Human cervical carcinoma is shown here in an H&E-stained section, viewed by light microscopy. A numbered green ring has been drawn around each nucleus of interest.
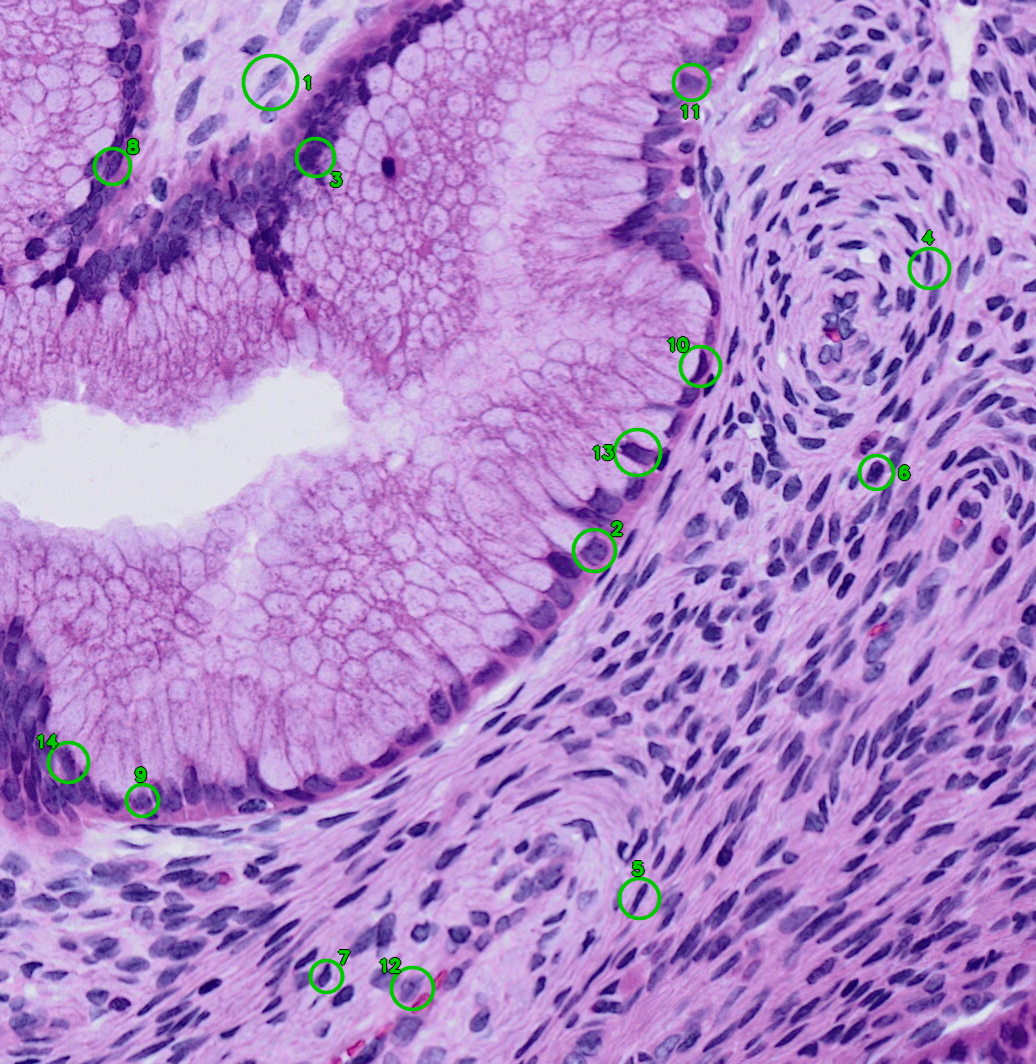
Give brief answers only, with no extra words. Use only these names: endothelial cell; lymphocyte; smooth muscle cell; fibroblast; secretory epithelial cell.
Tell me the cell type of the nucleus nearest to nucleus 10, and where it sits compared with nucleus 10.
a lymphocyte, below and to the right of nucleus 10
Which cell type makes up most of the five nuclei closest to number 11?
secretory epithelial cell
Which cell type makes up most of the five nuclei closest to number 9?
secretory epithelial cell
